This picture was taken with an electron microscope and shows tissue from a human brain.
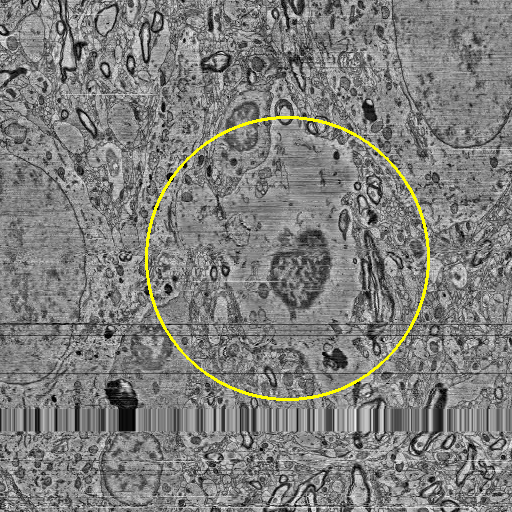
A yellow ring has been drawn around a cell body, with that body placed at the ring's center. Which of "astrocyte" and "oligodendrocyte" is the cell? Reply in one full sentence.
In this picture, an astrocyte is the cell at the center of the yellow ring.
